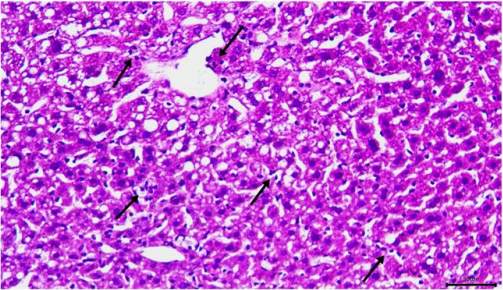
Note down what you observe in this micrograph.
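This is liver tissue stained with hematoxylin and eosin, with plates of hepatocytes surrounding a small vessel and scattered small inflammatory cells. The hepatocytes have pink cytoplasm and round purple nuclei; a number of them, mainly near the vessel, contain round clear vacuoles of varying size. Slit-like sinusoids separate the hepatocyte cords. Small cells with compact, darkly stained nuclei lie between the hepatocytes and near the vessel wall, and the arrows point to these.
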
